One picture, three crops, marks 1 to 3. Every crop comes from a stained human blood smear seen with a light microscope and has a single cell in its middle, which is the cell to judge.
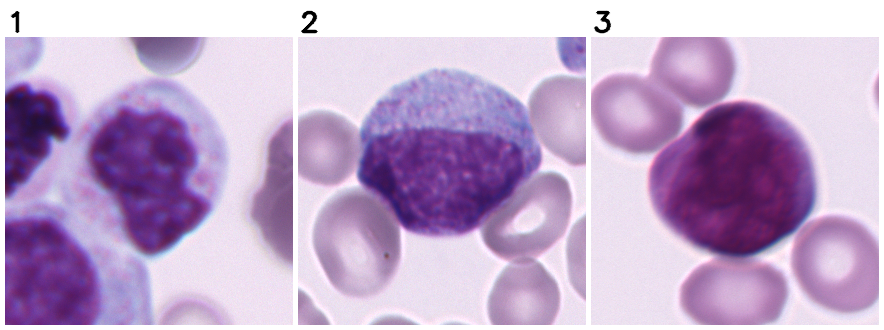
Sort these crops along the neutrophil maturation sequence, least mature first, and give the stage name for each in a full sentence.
Ordering these by maturity, least mature first, yields crop 3 (a myeloblast), crop 2 (a promyelocyte) and crop 1 (a band neutrophil).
